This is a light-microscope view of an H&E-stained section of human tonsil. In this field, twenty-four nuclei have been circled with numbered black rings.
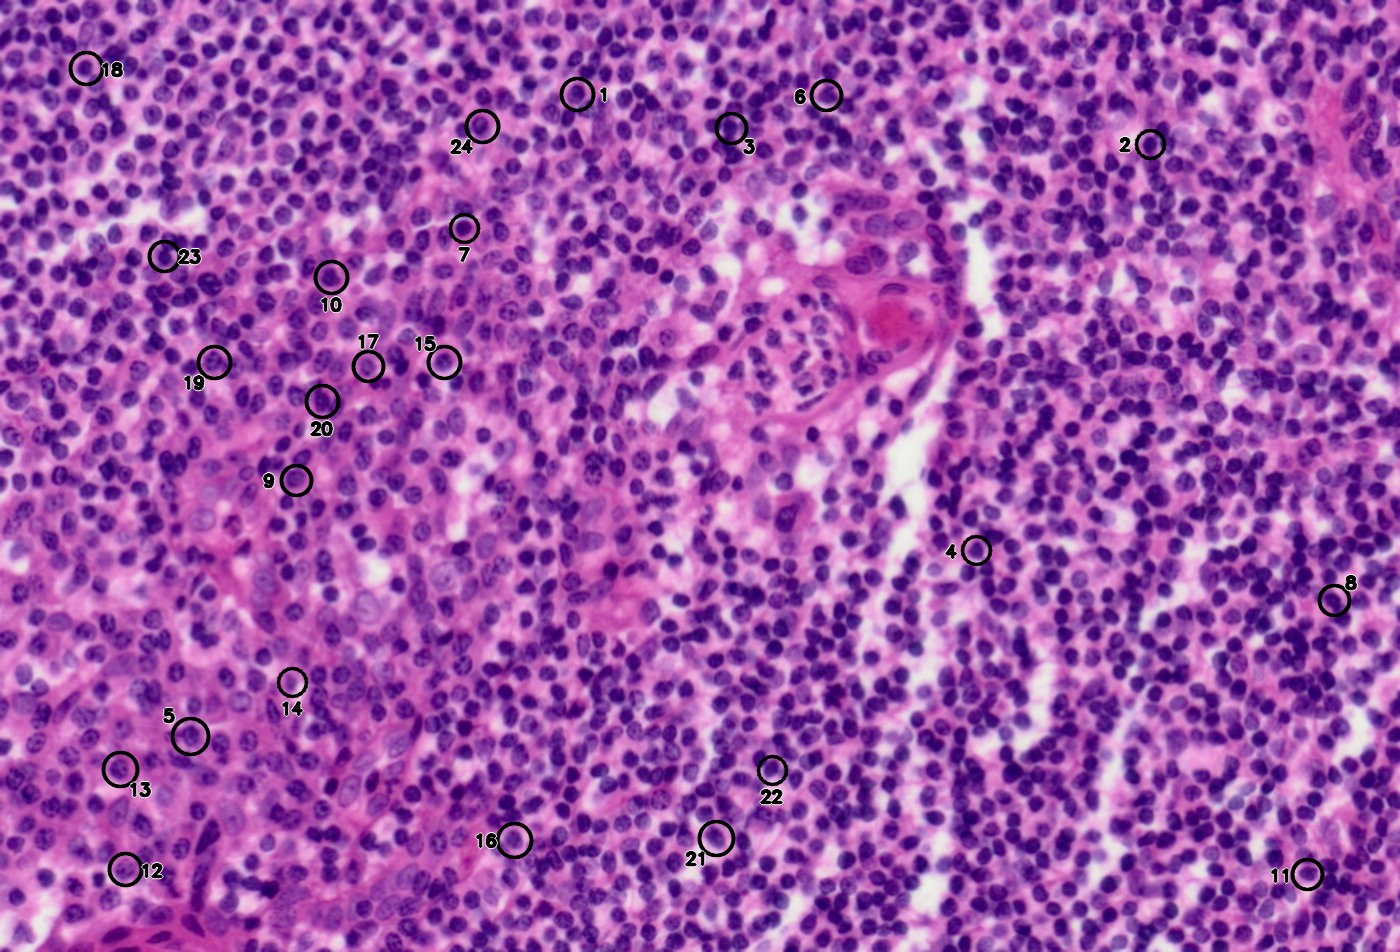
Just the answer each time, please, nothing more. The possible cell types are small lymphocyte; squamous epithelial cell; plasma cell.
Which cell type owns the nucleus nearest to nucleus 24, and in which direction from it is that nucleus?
a small lymphocyte; to the left of nucleus 24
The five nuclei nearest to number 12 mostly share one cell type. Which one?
plasma cell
